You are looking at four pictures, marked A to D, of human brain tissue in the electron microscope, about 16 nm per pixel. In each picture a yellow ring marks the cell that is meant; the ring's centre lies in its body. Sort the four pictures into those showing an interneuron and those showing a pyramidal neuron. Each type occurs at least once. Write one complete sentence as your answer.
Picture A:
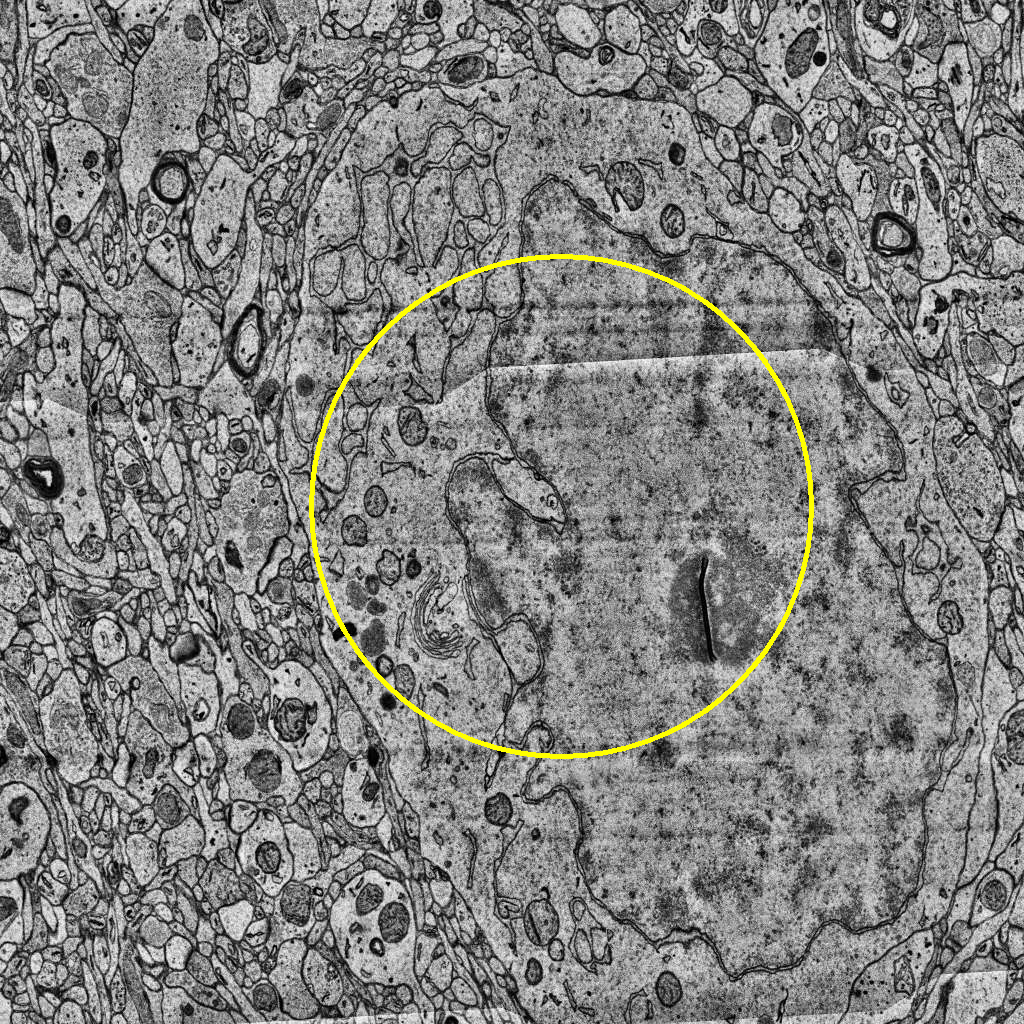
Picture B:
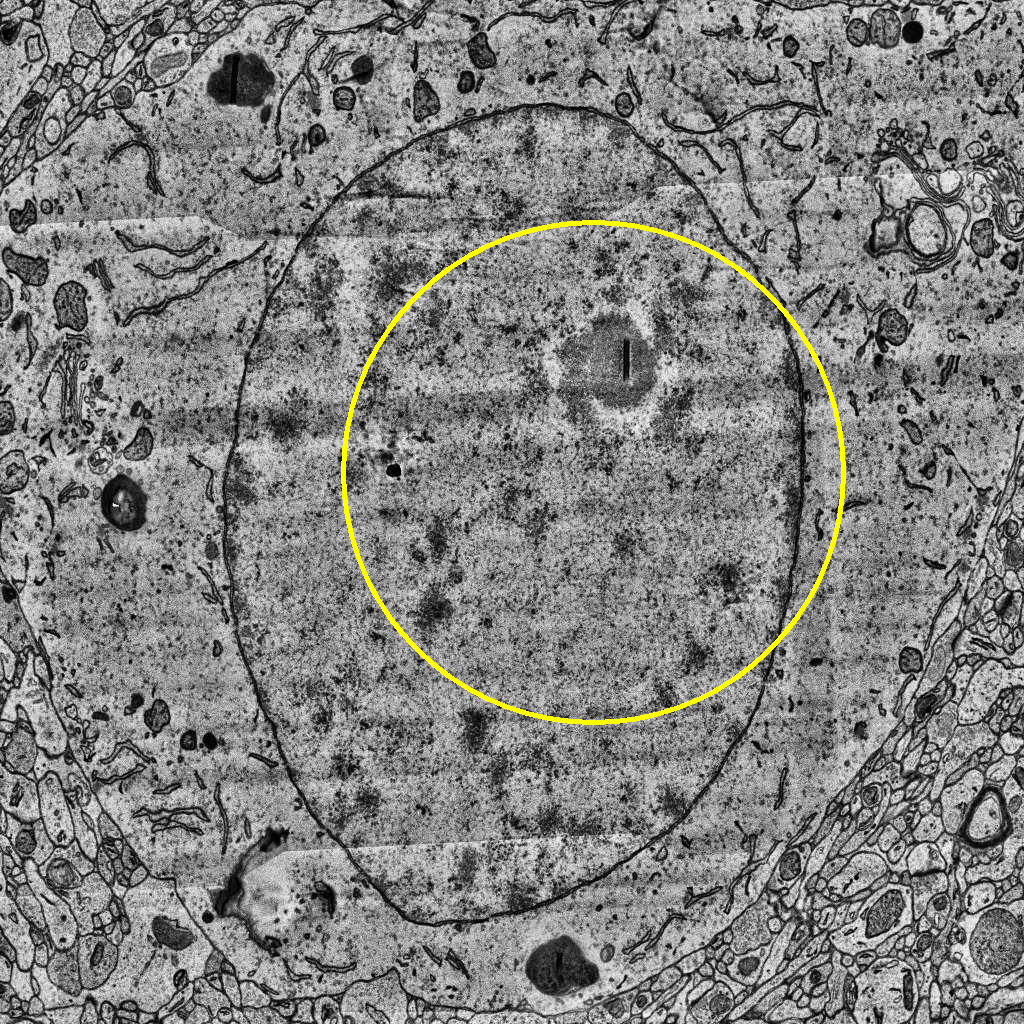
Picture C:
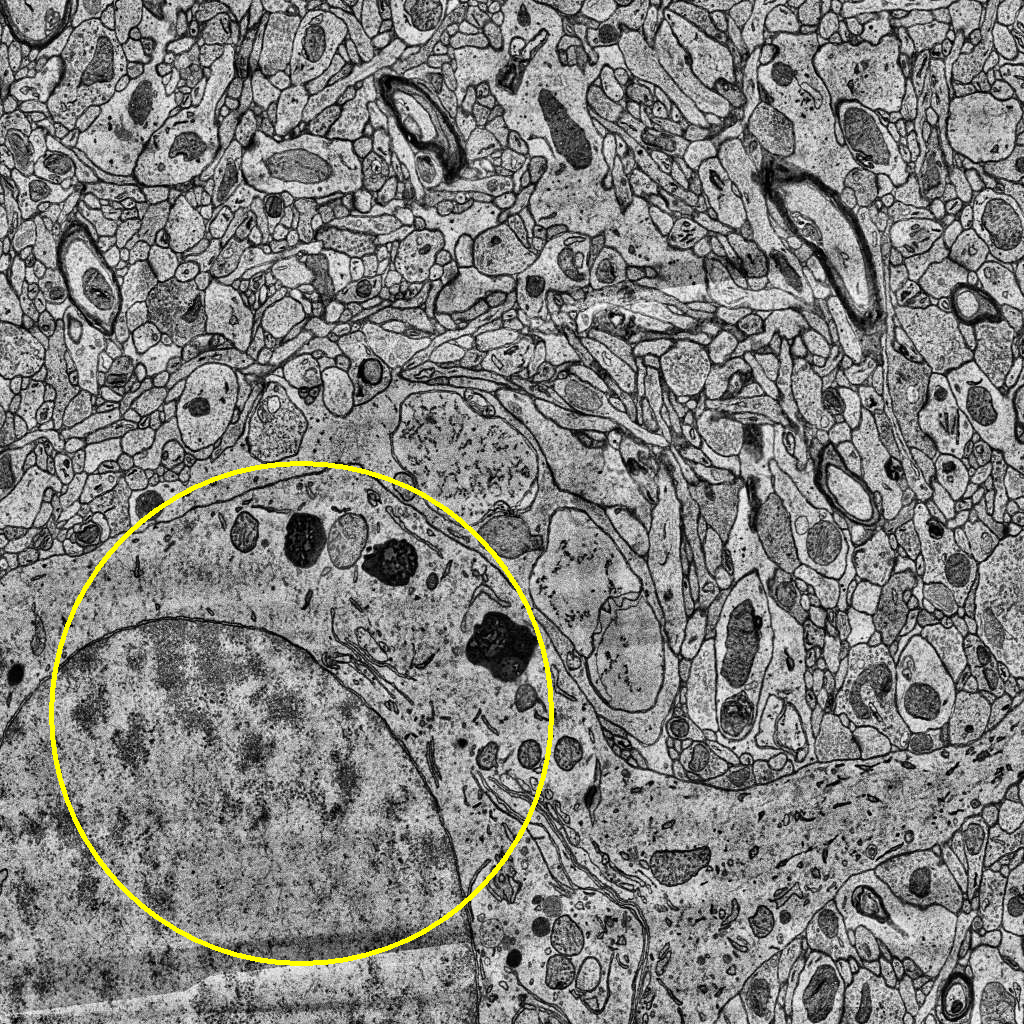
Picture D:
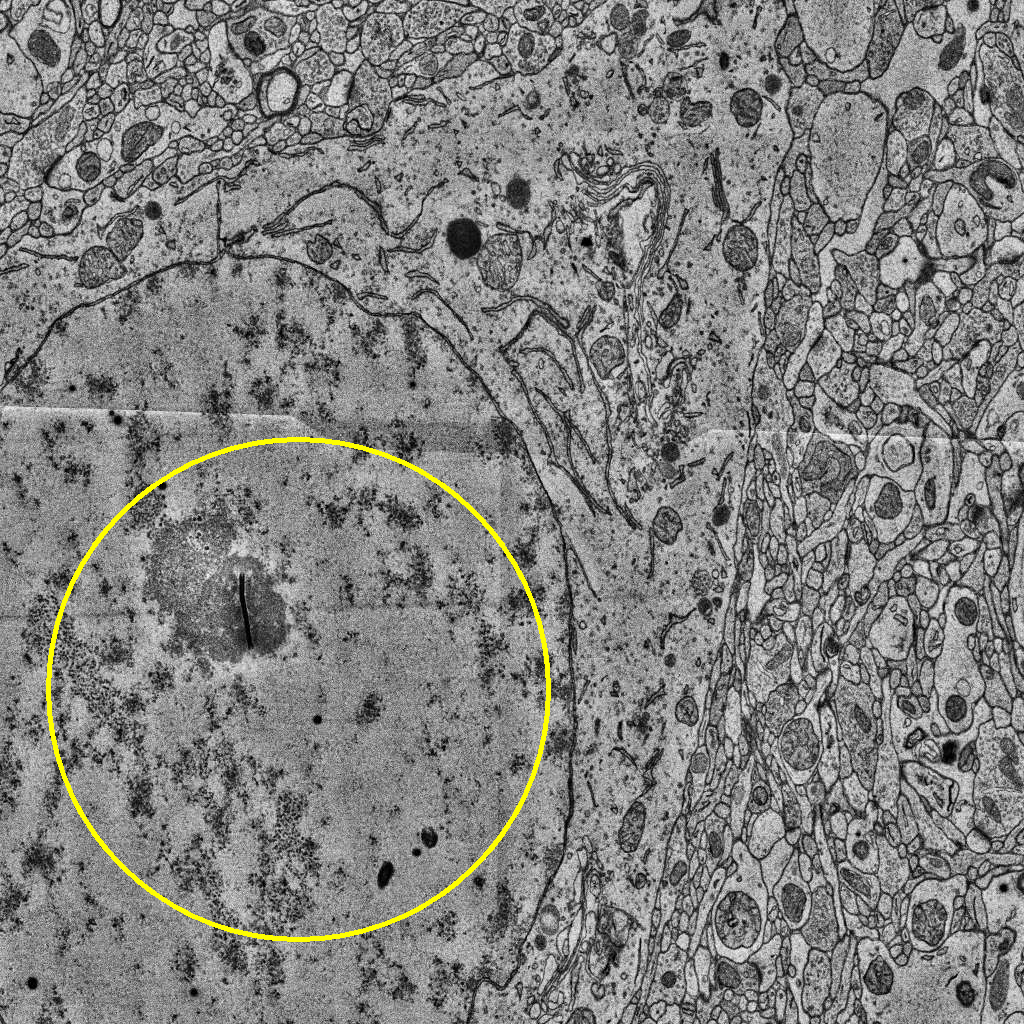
Picture A shows an interneuron, and pictures B, C and D show pyramidal neurons.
